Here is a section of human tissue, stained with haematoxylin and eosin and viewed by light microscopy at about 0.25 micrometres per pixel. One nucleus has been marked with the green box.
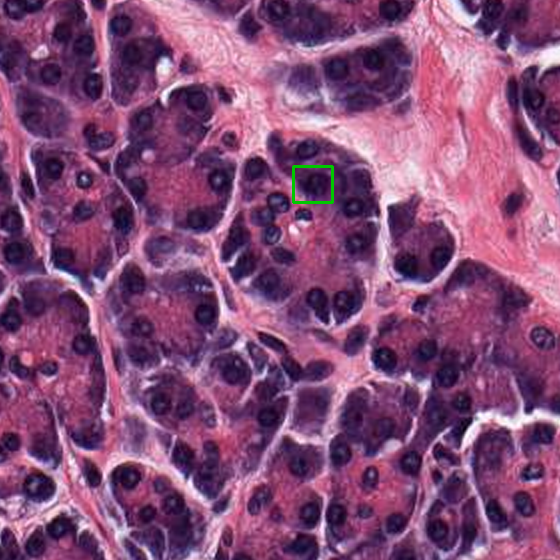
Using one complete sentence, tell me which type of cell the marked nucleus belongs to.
As shown here, the nucleus that is marked is that of a pancreatic acinar cell.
